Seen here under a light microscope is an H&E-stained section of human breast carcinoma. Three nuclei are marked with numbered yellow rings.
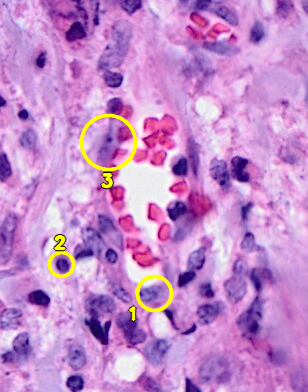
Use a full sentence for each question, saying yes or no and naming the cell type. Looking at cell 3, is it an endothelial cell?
Yes, the nucleus numbered 3 belongs to an endothelial cell.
